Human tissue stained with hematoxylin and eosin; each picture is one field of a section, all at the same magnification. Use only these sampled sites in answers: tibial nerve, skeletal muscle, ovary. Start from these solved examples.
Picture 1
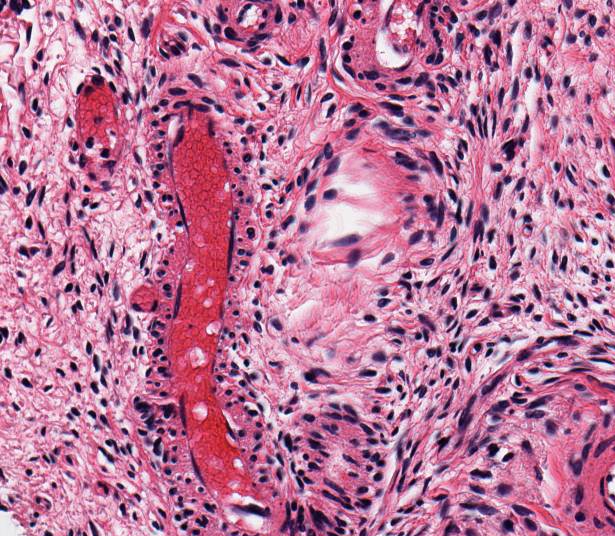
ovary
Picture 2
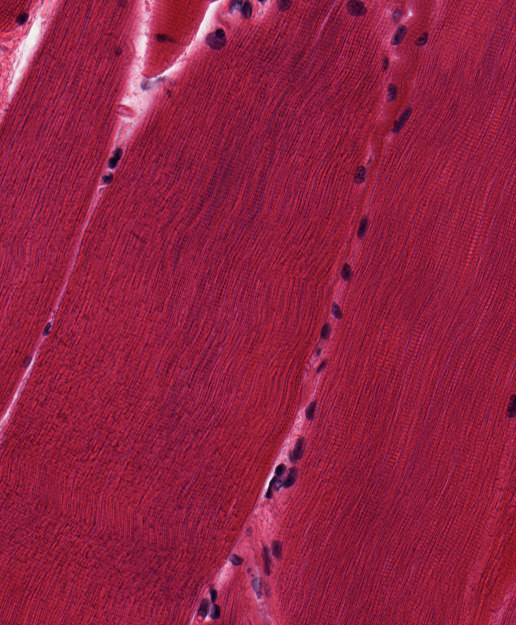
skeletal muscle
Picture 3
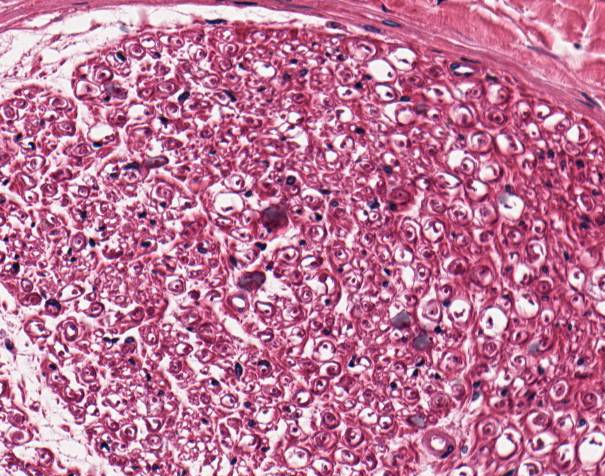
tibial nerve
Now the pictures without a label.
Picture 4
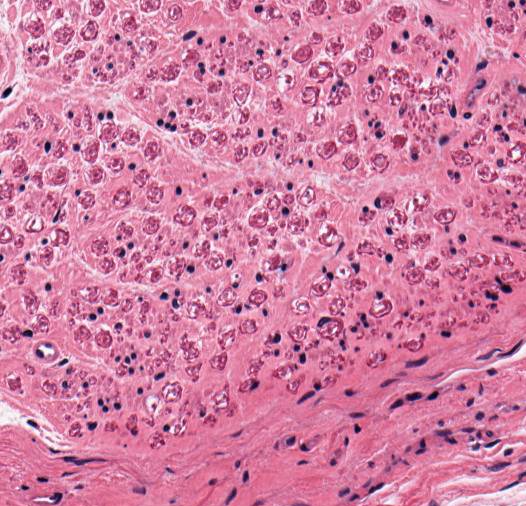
tibial nerve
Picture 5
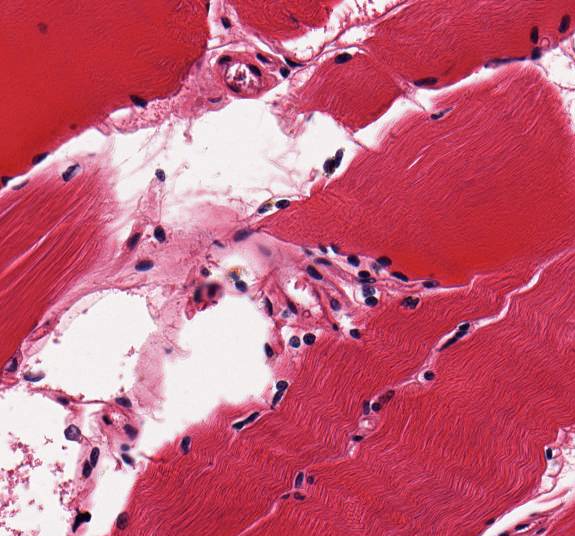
skeletal muscle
